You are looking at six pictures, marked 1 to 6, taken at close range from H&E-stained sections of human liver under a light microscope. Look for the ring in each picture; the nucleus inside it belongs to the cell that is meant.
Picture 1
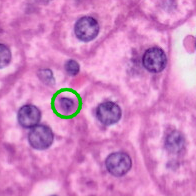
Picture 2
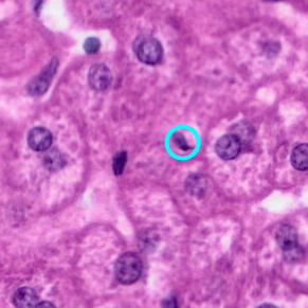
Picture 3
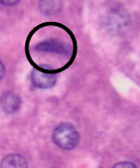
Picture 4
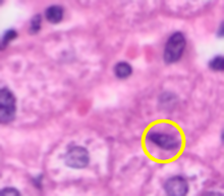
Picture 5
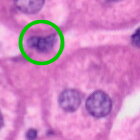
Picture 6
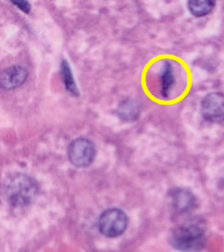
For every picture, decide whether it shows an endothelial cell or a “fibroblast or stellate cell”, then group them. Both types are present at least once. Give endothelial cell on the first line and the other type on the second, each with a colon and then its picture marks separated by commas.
endothelial cell: 2, 6
fibroblast or stellate cell: 1, 3, 4, 5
